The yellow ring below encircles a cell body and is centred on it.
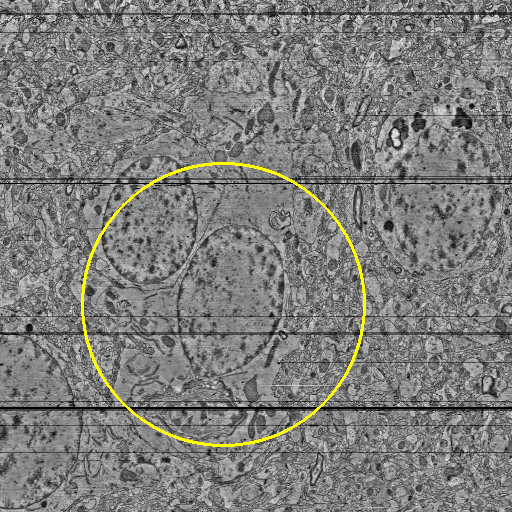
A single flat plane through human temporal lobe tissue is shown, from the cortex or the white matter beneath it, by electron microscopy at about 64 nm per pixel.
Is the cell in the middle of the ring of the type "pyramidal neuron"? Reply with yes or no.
no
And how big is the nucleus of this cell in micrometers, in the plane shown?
Roughly 11 micrometres by 7 micrometres, so the nucleus is clearly longer than it is wide in this plane.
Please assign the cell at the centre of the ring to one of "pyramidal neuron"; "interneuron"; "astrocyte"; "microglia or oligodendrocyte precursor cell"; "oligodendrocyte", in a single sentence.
Instead, the cell at the centre of the yellow ring is an astrocyte.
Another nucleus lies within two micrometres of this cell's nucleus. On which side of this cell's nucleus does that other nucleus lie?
The other nucleus lies to the upper left of it in the picture.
